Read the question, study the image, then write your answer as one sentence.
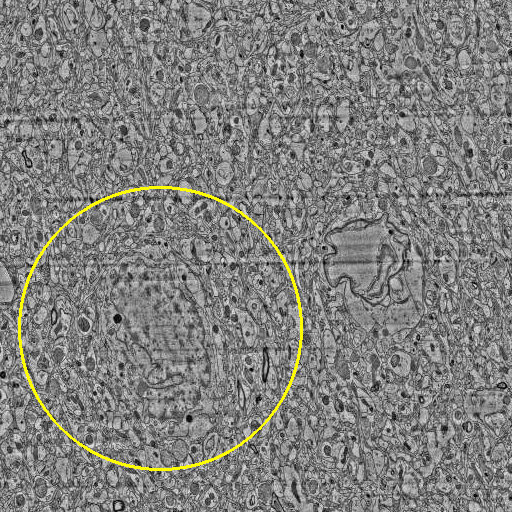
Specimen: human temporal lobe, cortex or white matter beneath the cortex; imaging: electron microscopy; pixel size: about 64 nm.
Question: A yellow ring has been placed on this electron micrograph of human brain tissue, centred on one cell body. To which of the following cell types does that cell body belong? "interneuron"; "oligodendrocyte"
That cell body belongs to an interneuron.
